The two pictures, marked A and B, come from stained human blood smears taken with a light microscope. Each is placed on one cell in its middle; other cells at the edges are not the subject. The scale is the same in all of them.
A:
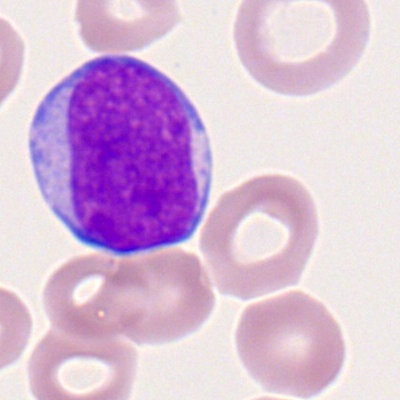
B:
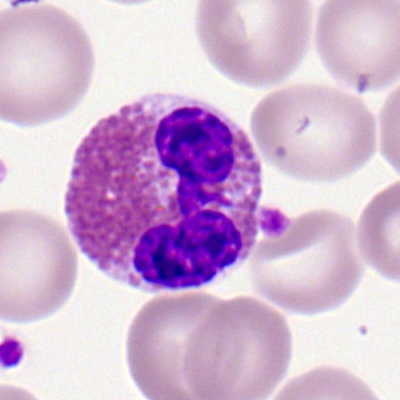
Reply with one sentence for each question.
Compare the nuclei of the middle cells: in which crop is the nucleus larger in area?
Crop A shows the larger nucleus; it covers about 2 times the area of the nucleus in crop B.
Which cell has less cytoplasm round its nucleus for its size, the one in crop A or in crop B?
Of the two, the nucleus in crop A makes up the greater part of its cell.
